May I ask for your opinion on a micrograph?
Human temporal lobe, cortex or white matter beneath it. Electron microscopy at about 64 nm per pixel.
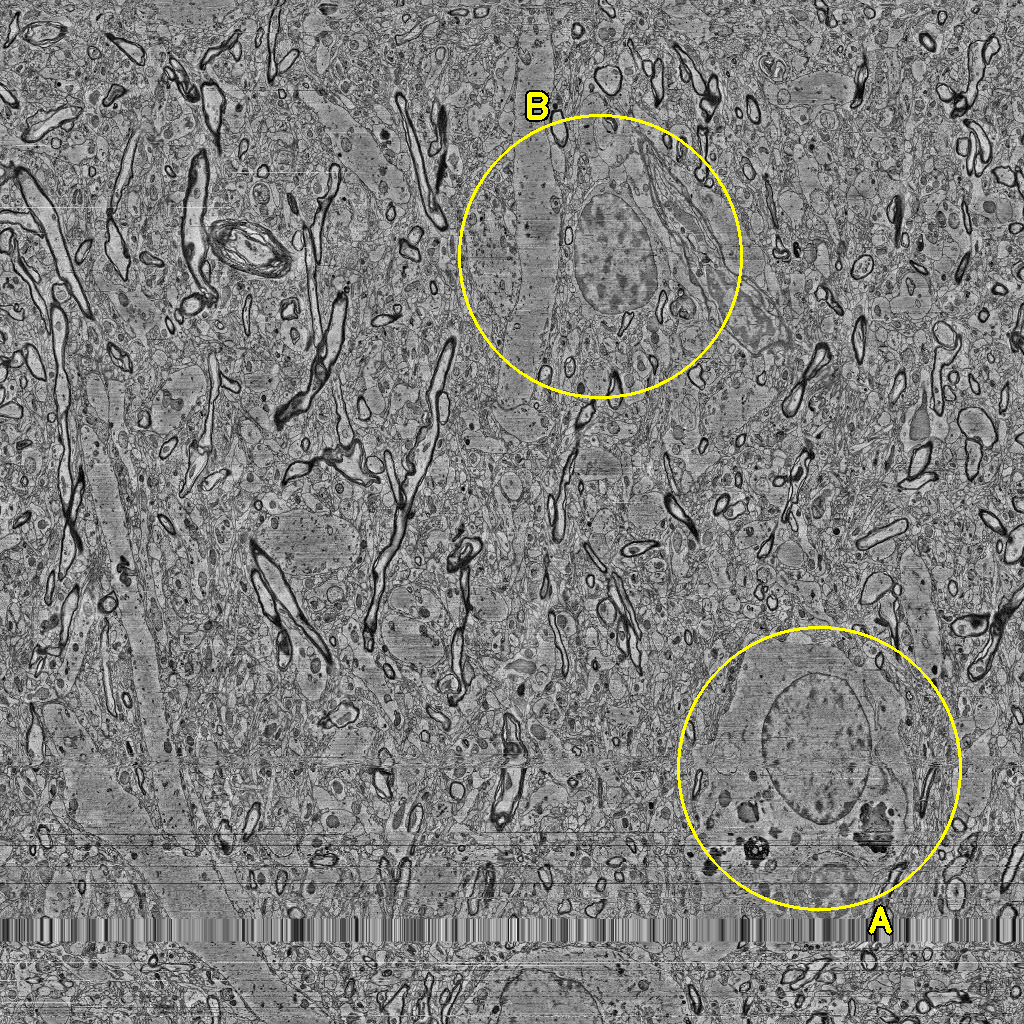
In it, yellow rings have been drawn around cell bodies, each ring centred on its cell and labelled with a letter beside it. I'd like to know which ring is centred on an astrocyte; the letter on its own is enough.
A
